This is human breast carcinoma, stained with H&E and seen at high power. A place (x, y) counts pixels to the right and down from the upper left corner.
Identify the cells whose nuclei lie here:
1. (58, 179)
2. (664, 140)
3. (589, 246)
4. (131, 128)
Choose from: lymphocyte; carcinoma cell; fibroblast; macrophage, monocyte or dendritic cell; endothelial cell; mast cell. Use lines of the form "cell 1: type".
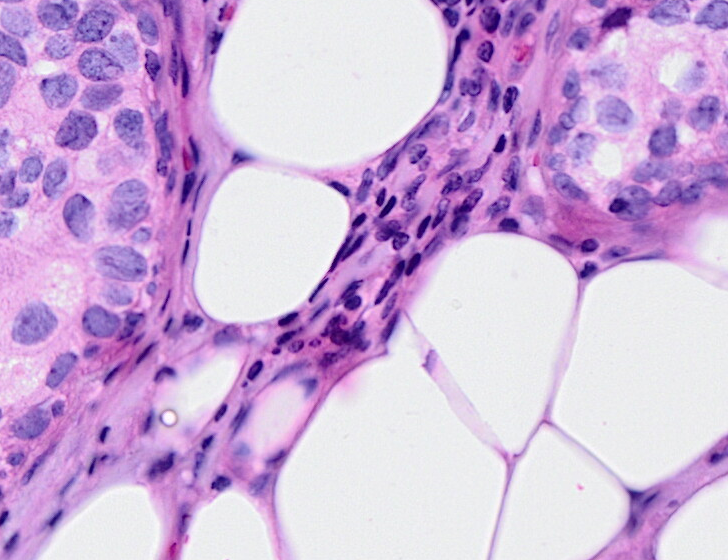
cell 1: carcinoma cell
cell 2: carcinoma cell
cell 3: lymphocyte
cell 4: carcinoma cell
